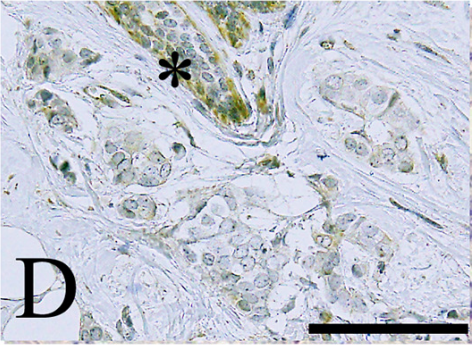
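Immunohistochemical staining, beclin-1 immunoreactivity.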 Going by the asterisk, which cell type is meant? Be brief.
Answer: Non-tumorous ductal epithelial cells.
